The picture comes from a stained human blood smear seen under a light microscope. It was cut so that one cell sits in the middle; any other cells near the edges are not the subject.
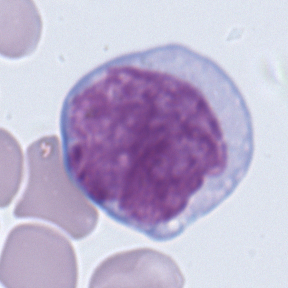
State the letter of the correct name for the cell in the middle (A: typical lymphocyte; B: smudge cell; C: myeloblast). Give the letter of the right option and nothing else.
C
